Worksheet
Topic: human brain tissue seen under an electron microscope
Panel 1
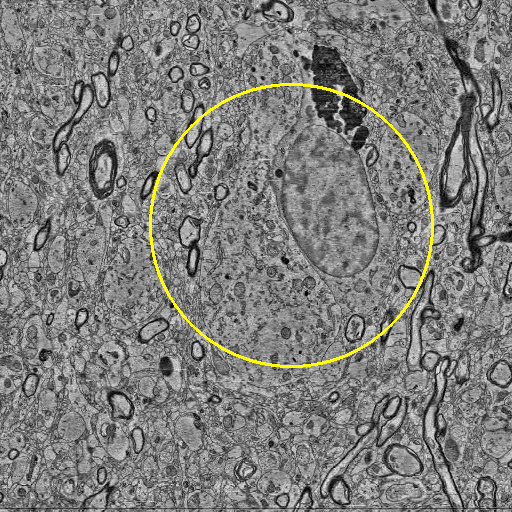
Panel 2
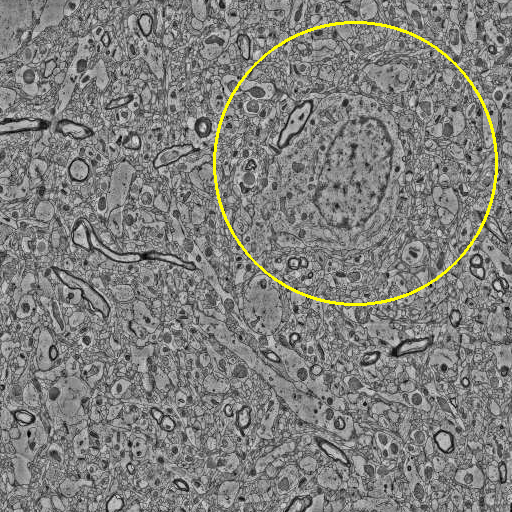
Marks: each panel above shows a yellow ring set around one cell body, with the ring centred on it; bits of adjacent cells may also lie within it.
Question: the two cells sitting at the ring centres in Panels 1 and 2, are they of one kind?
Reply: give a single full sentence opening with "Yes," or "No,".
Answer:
No, the two ring-centre cells in Panel 1 and Panel 2 are of two kinds.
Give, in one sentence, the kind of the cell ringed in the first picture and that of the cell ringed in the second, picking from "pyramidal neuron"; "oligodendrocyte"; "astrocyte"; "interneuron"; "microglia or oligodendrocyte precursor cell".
For the first picture it is an oligodendrocyte; for the second, an interneuron.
